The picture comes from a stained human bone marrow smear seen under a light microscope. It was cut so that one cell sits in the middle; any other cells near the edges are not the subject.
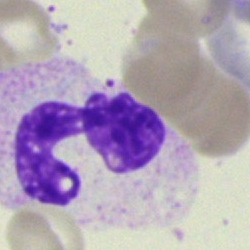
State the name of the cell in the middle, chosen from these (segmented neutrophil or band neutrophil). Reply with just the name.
segmented neutrophil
